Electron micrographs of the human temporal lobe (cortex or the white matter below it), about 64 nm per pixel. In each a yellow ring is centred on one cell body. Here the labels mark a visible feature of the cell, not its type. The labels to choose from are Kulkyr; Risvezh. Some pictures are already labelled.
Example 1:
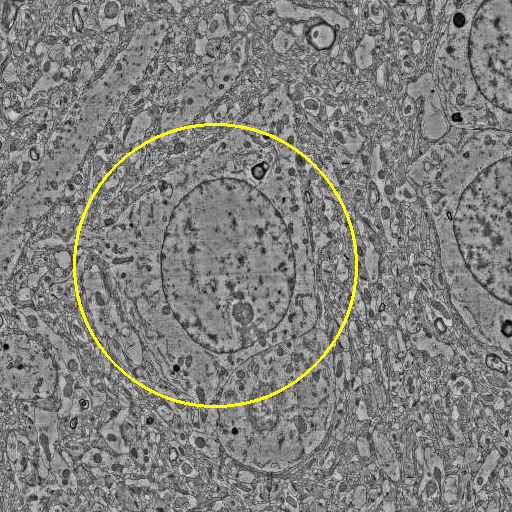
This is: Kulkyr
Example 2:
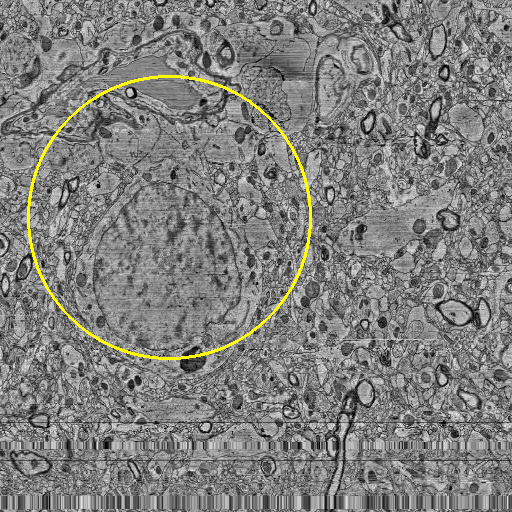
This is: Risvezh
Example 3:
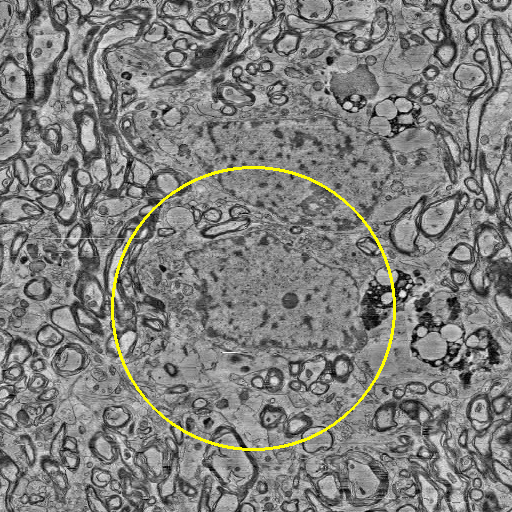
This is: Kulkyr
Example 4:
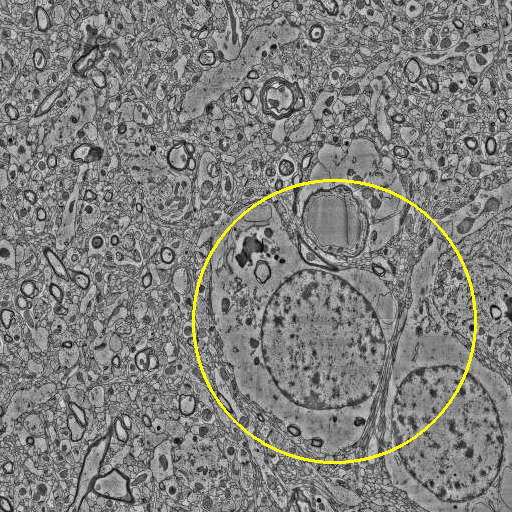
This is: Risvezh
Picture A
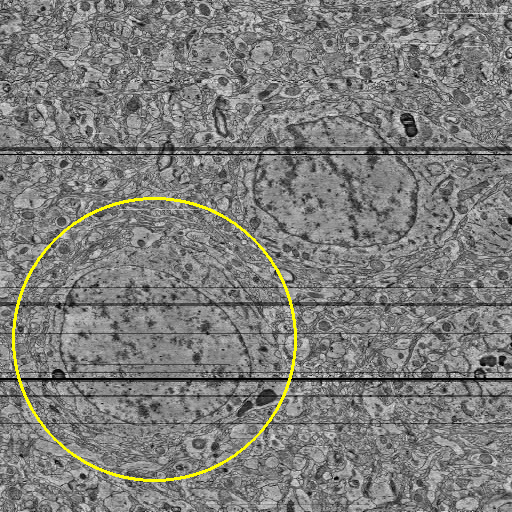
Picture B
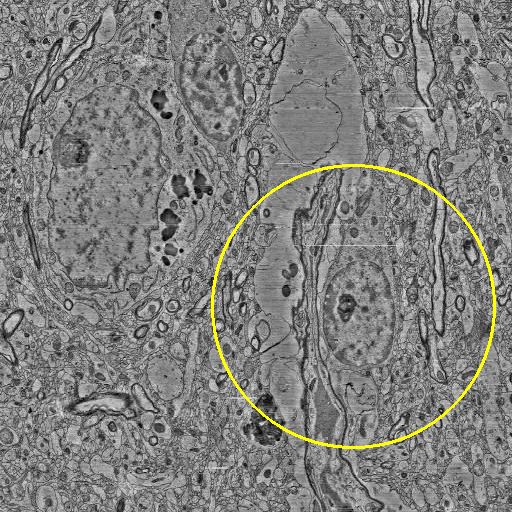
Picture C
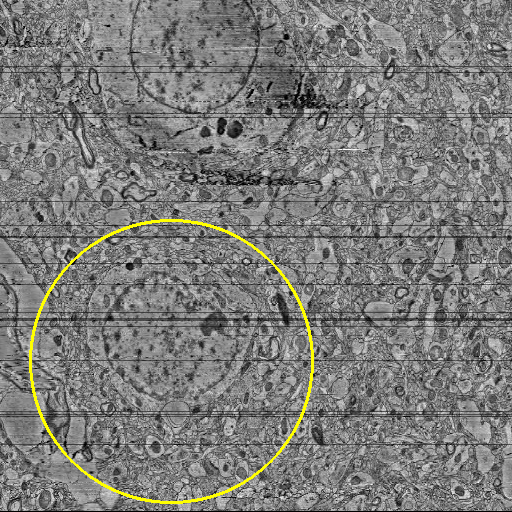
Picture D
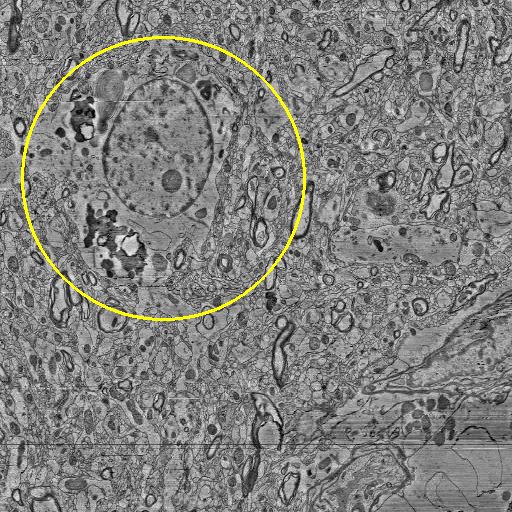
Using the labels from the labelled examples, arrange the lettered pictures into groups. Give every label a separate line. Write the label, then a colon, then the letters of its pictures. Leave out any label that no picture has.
Kulkyr: B, C, D
Risvezh: A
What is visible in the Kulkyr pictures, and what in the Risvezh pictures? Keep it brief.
Seen in Kulkyr: nucleolus seen; seen in Risvezh: no nucleolus seen.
